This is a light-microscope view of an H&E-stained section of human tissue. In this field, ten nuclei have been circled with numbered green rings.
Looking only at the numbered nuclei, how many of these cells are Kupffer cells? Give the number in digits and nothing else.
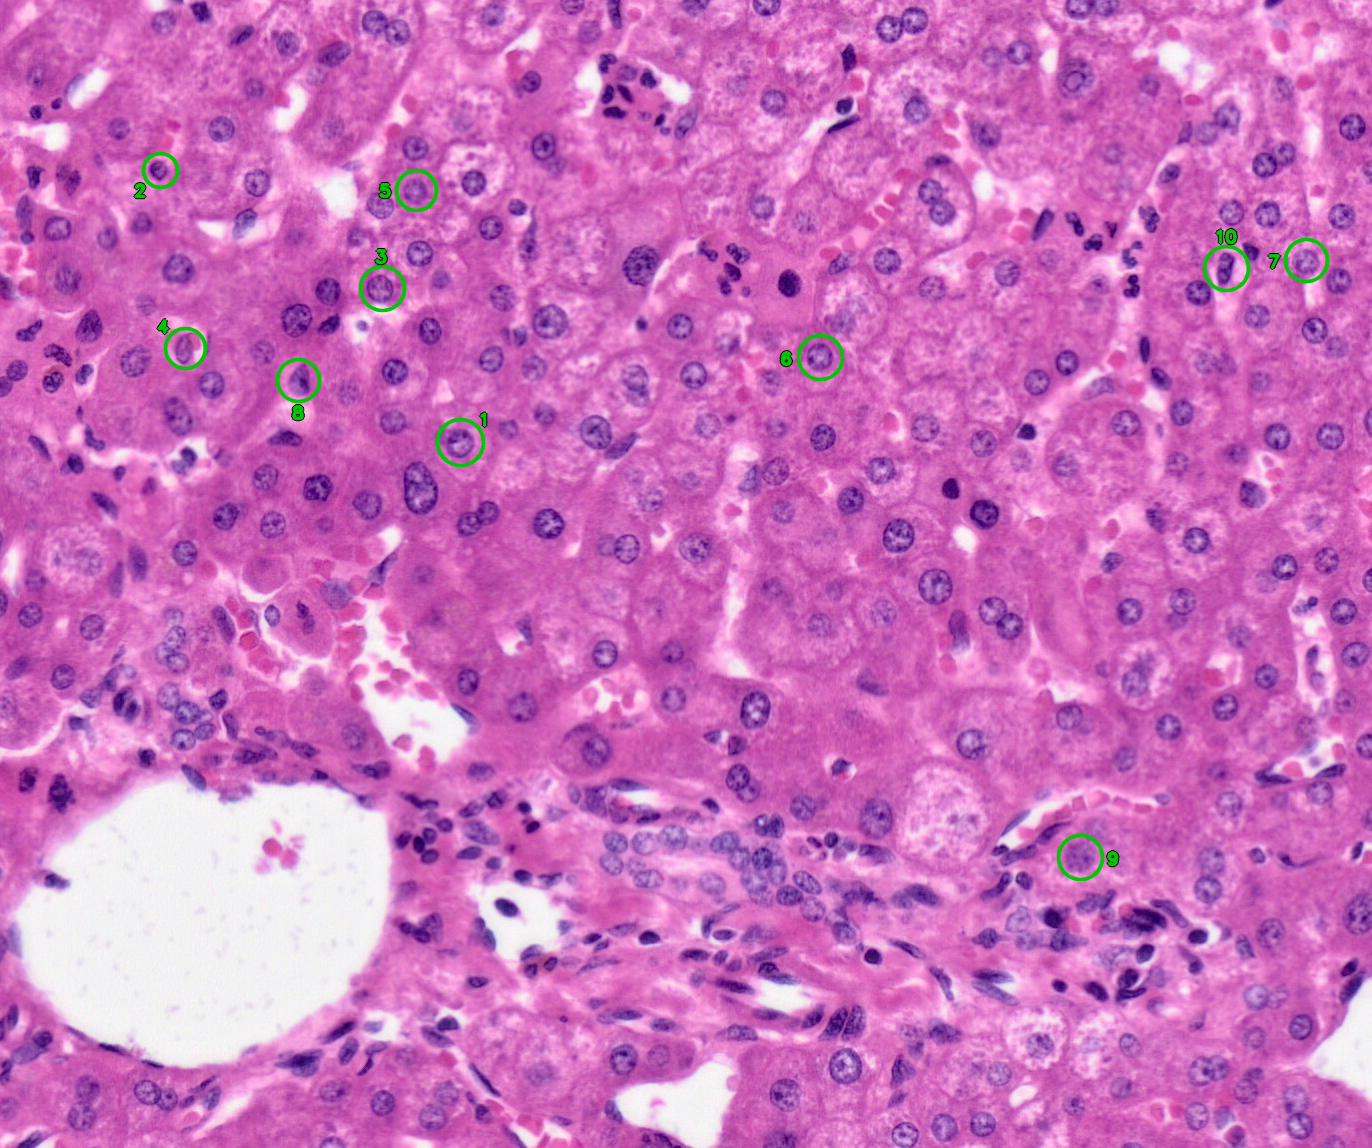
2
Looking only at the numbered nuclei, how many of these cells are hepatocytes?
6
